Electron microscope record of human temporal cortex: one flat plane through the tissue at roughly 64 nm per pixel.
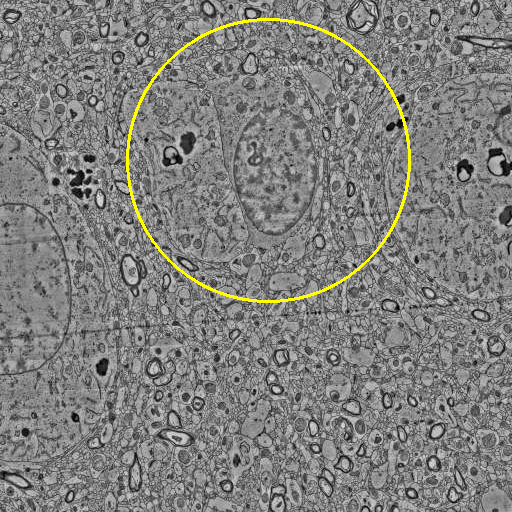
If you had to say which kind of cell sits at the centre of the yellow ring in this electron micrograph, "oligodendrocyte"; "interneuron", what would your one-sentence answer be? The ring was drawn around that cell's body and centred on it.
The cell sitting at the centre of the ring is an oligodendrocyte.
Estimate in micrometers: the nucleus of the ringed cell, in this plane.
About 8 by 5 micrometers in this plane, so the nucleus is clearly longer than it is wide.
